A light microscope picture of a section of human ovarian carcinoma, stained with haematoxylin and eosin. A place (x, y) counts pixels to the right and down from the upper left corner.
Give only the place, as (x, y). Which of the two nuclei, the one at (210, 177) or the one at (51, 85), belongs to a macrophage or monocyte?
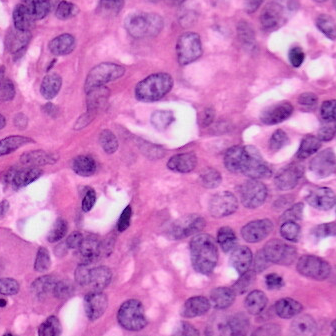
(51, 85)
